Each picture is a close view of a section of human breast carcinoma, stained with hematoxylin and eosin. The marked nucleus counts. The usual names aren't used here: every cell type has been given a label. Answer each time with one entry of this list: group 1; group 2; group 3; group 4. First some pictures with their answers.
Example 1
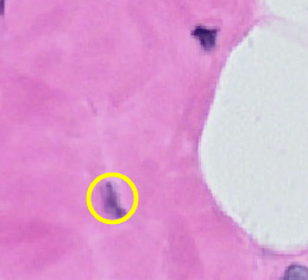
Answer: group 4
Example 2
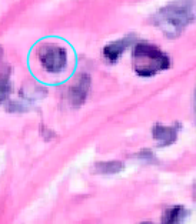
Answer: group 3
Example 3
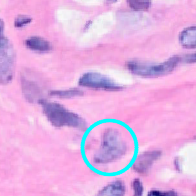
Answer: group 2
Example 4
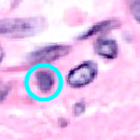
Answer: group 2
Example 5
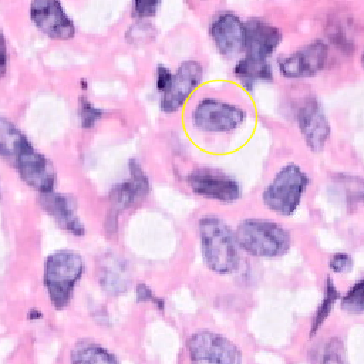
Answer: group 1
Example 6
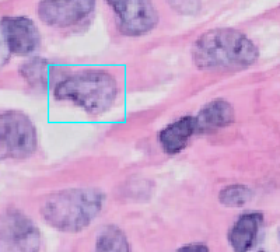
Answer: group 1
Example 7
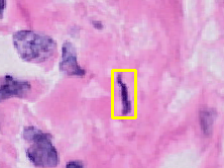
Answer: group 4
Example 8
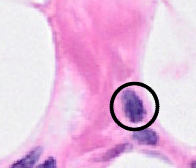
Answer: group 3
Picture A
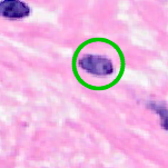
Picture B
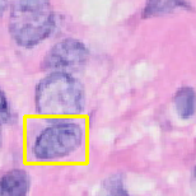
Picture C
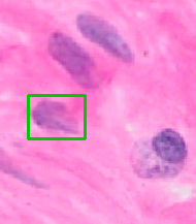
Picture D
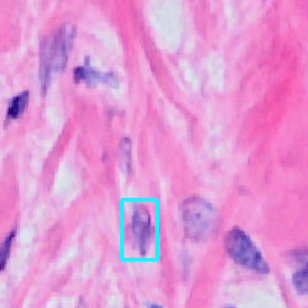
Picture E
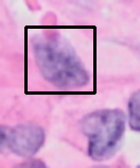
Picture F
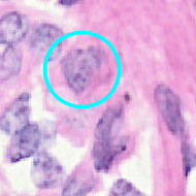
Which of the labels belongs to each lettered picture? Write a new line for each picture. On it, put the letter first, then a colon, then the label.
A: group 3
B: group 1
C: group 4
D: group 4
E: group 2
F: group 1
